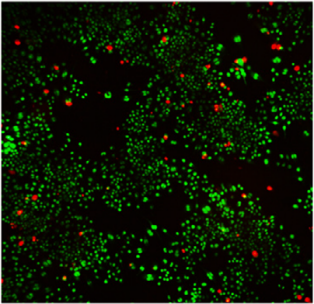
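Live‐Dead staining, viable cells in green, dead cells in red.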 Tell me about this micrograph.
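This fluorescence field shows a culture of small, round cells, most of them green. They are spread as a patchy layer with clustered areas and dark gaps of empty background. Scattered red cells lie singly among the green ones, and some of them are slightly larger and brighter.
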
